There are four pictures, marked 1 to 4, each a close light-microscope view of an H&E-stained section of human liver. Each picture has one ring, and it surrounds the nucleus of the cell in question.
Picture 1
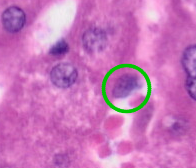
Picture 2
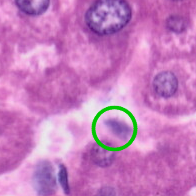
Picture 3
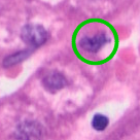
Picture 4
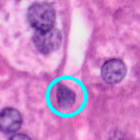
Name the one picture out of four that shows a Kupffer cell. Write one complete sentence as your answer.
Picture 2 is the one that shows the Kupffer cell.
